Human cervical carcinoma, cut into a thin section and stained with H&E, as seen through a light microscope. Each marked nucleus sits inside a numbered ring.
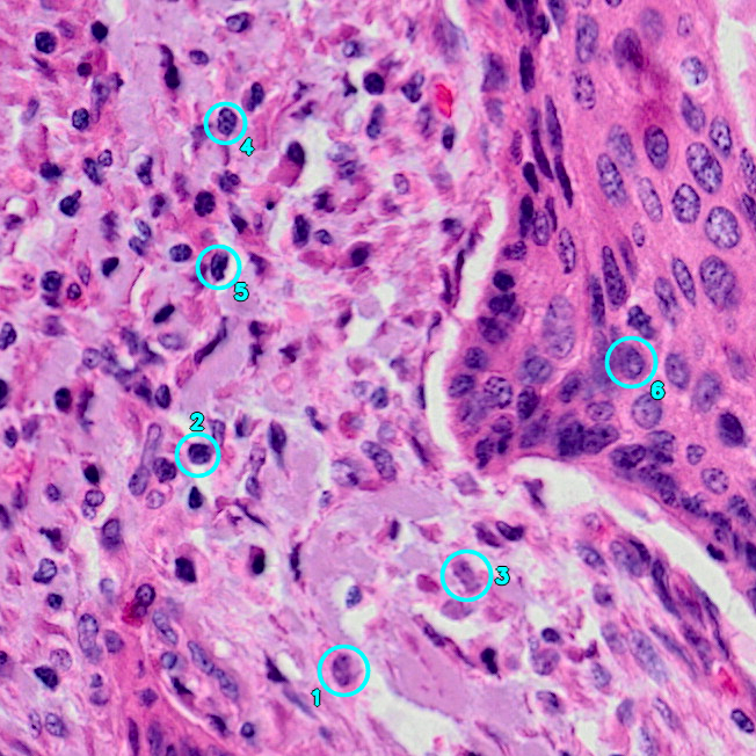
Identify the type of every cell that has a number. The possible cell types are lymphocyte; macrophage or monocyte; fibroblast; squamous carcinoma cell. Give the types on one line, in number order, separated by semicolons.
macrophage or monocyte; lymphocyte; fibroblast; lymphocyte; lymphocyte; squamous carcinoma cell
